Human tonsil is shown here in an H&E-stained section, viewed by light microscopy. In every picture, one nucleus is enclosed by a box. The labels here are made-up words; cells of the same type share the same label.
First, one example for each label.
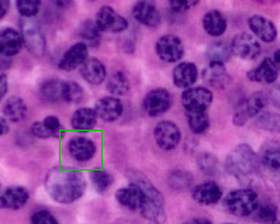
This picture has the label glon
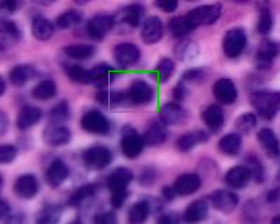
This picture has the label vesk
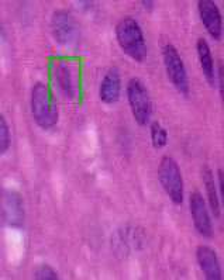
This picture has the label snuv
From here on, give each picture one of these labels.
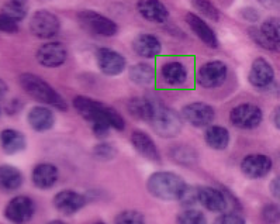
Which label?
glon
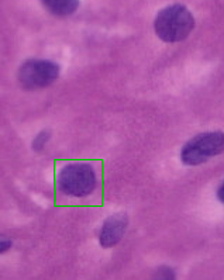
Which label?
snuv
